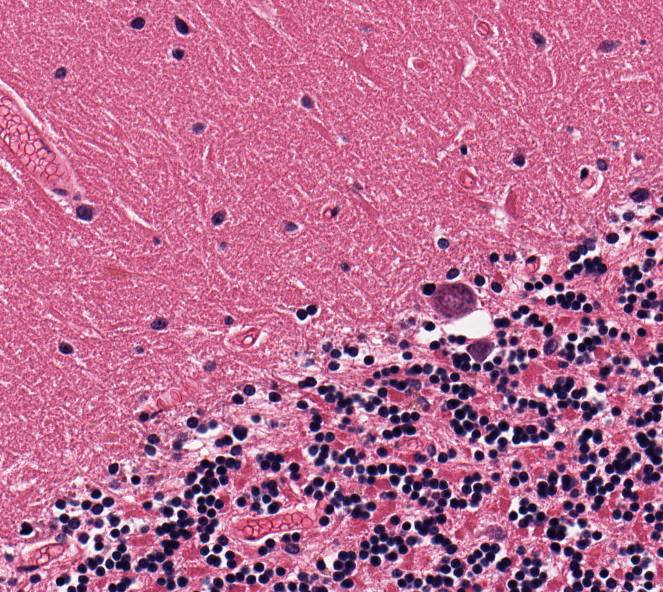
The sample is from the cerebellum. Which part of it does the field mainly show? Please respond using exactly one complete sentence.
The part of the tissue imaged here is called molecular layer.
